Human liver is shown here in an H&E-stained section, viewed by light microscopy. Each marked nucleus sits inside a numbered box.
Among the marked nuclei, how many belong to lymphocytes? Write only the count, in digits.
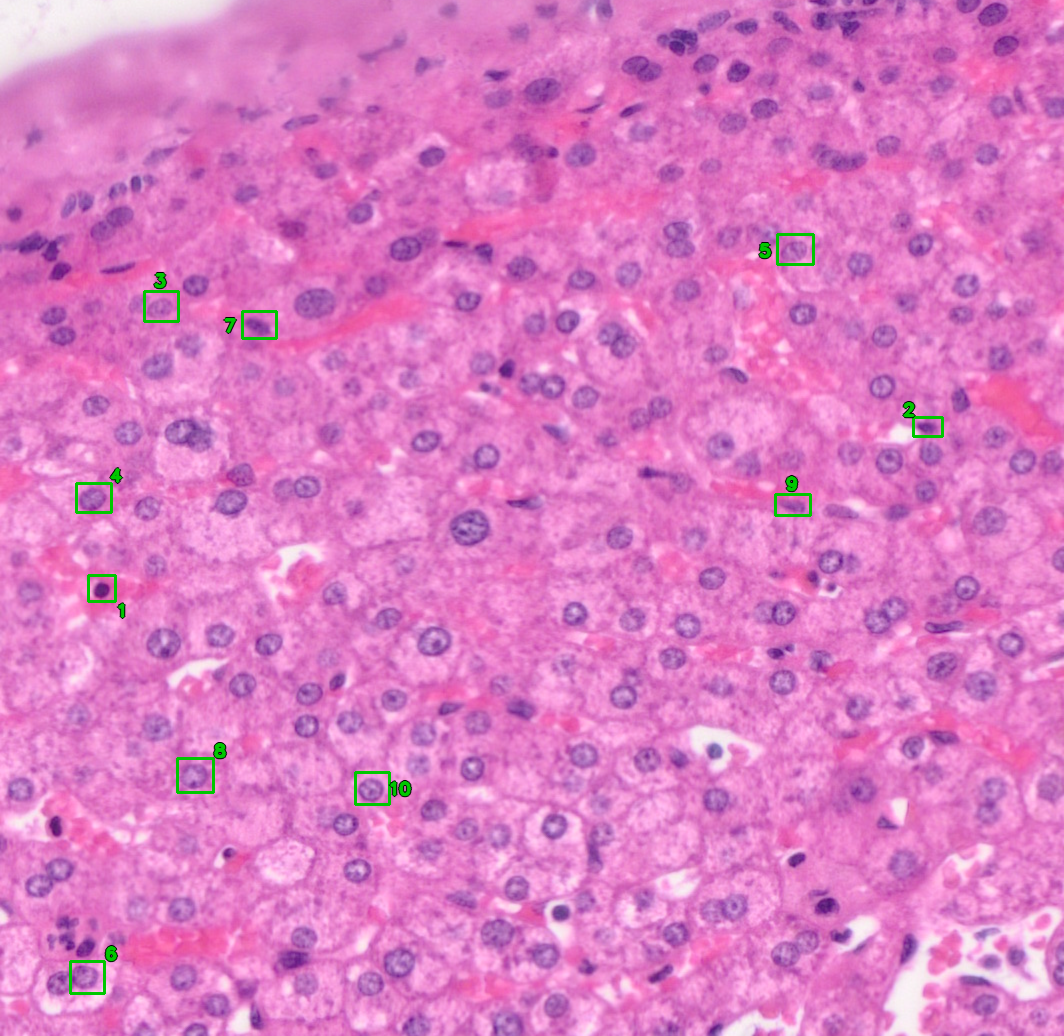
1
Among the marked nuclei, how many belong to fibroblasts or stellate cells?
3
